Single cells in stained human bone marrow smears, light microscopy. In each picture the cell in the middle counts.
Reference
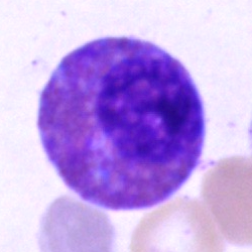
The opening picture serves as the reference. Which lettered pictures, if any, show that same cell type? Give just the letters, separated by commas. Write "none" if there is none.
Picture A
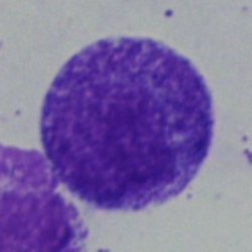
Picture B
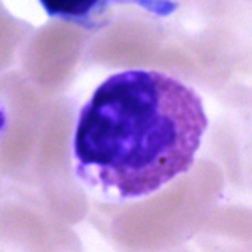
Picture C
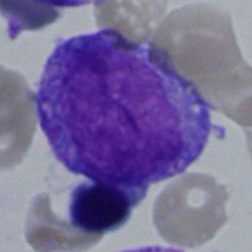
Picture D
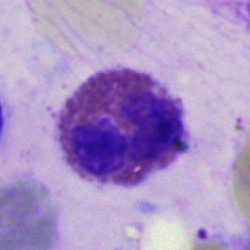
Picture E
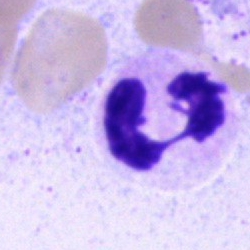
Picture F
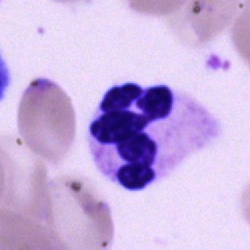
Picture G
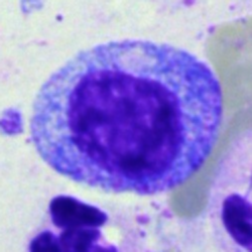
B, D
